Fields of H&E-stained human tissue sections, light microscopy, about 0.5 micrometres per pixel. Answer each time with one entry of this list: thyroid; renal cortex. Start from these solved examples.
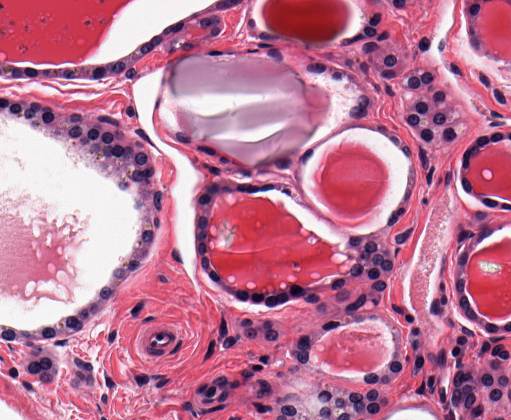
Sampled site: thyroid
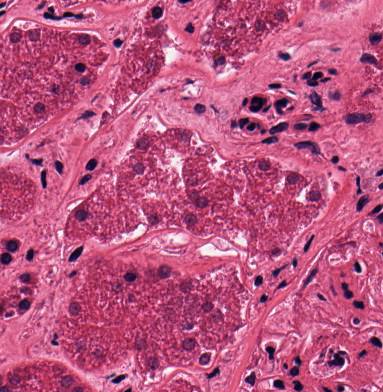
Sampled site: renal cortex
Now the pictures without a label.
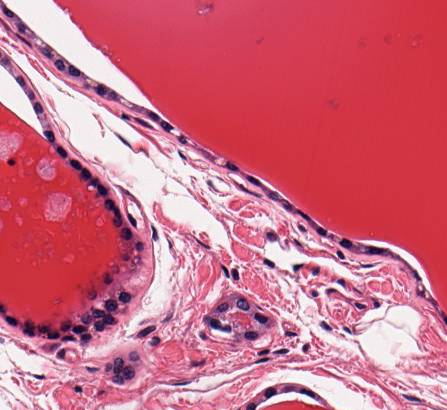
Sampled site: thyroid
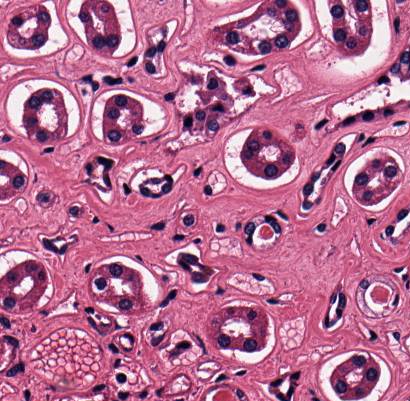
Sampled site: renal cortex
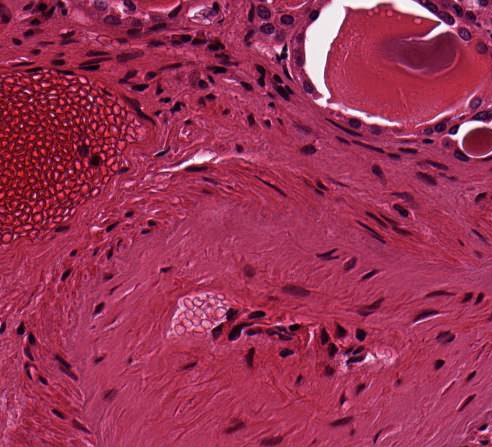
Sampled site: renal cortex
